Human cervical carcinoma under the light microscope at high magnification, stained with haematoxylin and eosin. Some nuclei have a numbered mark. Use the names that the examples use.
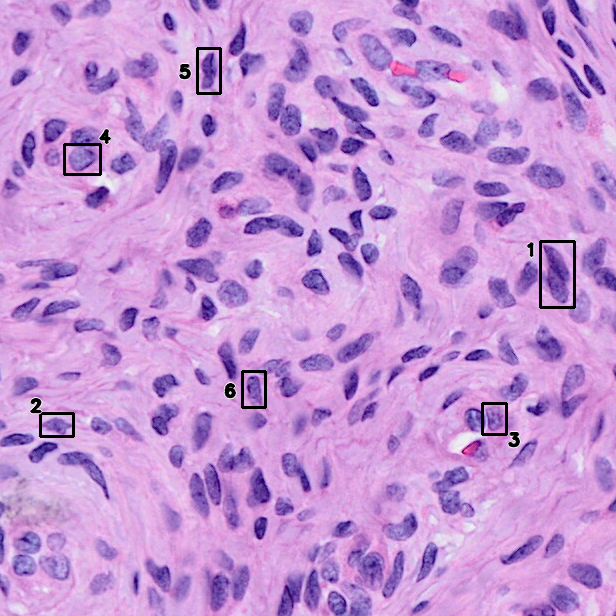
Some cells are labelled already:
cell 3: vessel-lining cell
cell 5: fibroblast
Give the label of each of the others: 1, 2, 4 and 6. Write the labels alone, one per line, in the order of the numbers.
fibroblast
fibroblast
vessel-lining cell
fibroblast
